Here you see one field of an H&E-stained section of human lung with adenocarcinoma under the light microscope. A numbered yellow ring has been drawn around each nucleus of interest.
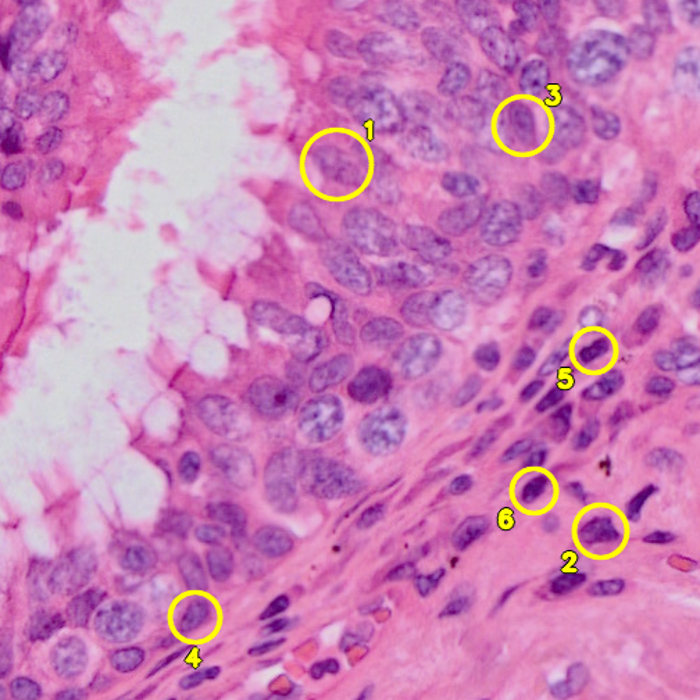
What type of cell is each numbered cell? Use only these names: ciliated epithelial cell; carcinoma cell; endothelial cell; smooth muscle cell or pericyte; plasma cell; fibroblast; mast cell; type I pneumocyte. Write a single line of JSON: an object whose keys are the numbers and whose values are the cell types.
{"1": "ciliated epithelial cell", "2": "plasma cell", "3": "ciliated epithelial cell", "4": "ciliated epithelial cell", "5": "plasma cell", "6": "plasma cell"}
